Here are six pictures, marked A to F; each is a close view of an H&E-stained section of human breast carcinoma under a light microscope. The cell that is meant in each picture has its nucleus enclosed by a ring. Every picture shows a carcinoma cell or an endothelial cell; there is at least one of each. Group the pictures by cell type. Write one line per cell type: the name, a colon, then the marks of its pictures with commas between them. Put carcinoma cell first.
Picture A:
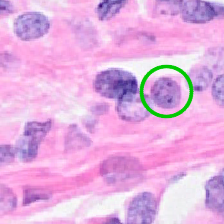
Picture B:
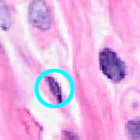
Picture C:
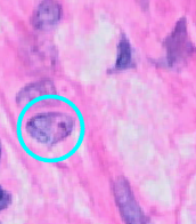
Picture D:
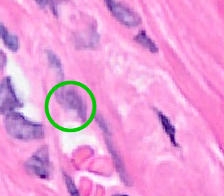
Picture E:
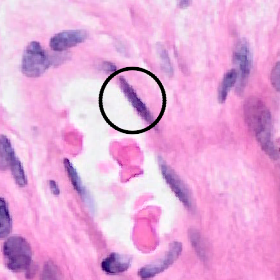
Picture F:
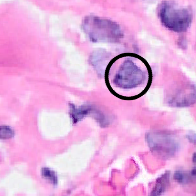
carcinoma cell: A, C, F
endothelial cell: B, D, E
